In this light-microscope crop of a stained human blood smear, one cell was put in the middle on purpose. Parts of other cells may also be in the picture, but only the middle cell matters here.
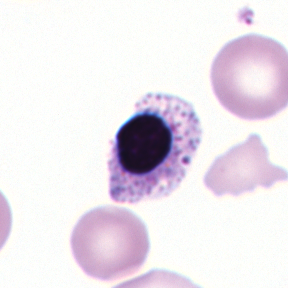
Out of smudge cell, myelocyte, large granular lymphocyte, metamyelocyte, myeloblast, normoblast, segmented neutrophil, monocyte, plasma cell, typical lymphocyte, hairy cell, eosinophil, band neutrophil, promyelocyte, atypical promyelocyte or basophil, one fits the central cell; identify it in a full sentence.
Seen at the centre of the crop is a normoblast.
